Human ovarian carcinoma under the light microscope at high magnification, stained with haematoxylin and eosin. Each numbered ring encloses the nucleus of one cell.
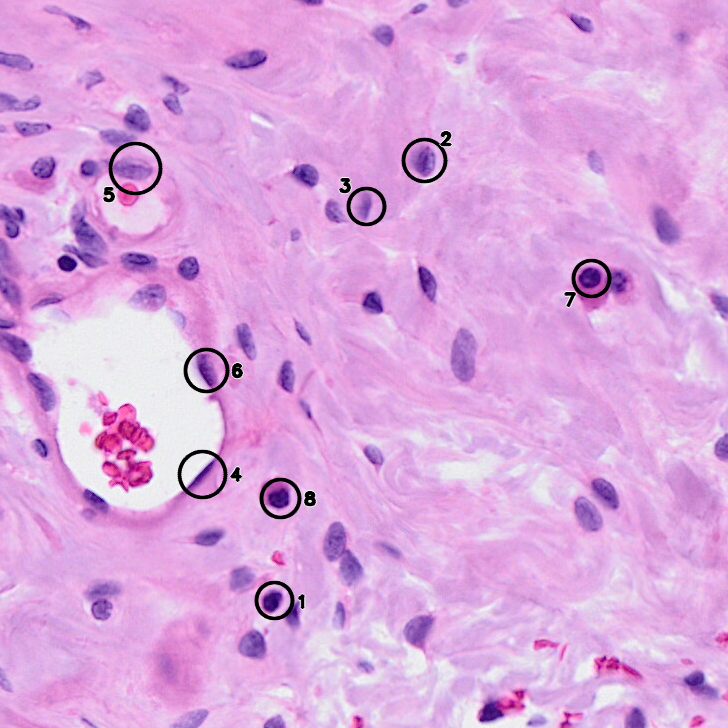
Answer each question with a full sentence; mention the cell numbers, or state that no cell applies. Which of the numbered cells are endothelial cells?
The cells numbered 4, 5 and 6 are, by type, endothelial cells.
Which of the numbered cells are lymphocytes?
The cells bearing the numbers 1, 7 and 8 are lymphocytes.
